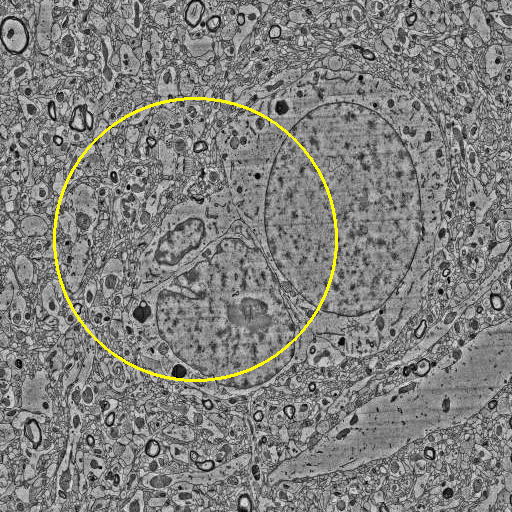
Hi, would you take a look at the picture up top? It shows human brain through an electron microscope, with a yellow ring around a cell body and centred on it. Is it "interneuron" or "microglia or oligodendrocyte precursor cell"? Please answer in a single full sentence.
The best fit for the cell in the middle of the ring is a microglial cell or oligodendrocyte precursor cell, I reckon.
